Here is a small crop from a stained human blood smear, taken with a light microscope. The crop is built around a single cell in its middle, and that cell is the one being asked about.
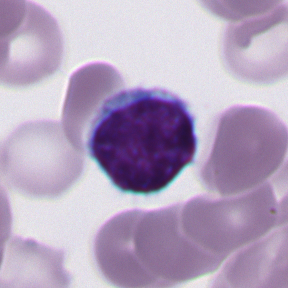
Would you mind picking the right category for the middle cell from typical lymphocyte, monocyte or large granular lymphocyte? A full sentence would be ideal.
Framed in the middle of the crop is a typical lymphocyte.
